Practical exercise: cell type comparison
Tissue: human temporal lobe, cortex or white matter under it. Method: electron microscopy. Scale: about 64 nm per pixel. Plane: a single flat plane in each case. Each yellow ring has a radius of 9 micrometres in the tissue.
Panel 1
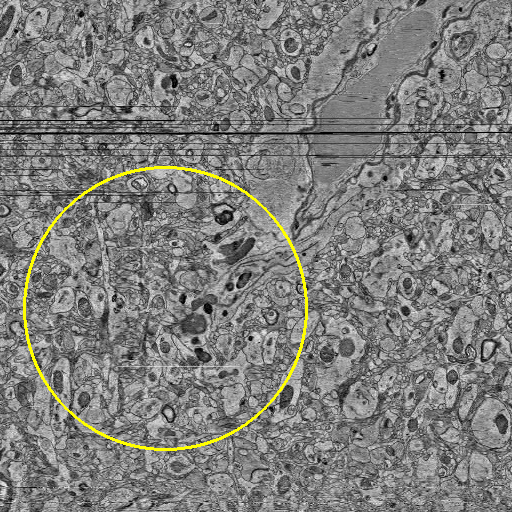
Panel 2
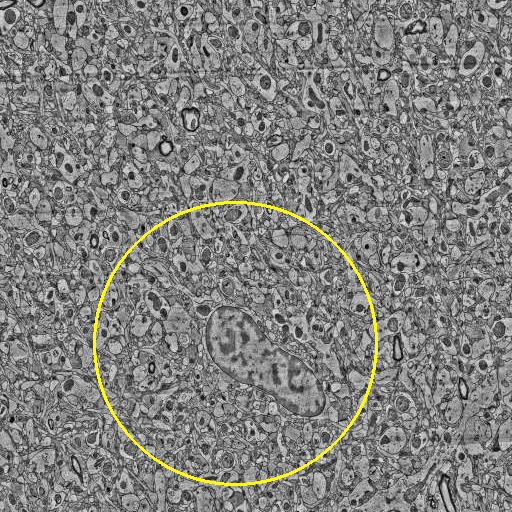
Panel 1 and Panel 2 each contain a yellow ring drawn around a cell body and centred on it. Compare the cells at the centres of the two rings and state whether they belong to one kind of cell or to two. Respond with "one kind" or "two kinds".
one kind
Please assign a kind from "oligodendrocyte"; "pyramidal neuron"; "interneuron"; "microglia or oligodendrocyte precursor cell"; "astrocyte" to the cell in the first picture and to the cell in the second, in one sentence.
Both cells are the same kind, each one being a microglial cell or oligodendrocyte precursor cell.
